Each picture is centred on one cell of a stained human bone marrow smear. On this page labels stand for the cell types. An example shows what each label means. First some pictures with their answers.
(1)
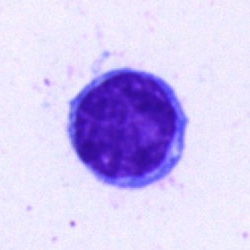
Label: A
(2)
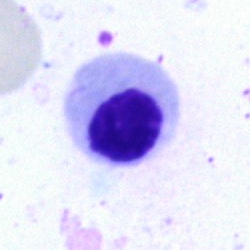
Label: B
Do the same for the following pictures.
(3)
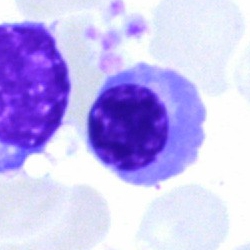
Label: B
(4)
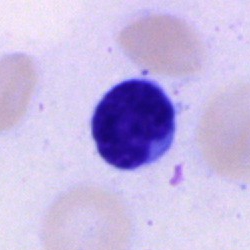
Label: A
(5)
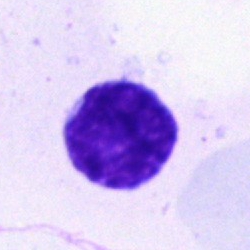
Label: A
